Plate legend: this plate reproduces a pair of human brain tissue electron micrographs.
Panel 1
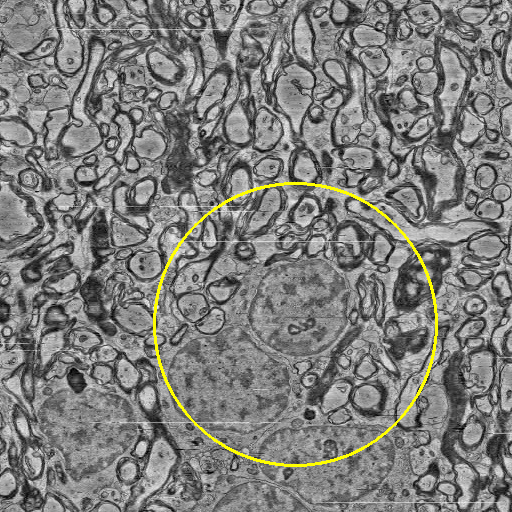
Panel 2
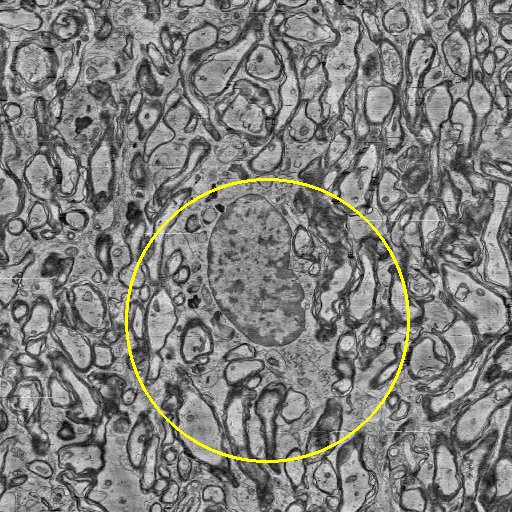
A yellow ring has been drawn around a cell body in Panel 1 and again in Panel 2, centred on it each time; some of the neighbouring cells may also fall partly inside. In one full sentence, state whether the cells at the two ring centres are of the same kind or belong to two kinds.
The ring-centred cells of Panel 1 and Panel 2 belong to two kinds.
